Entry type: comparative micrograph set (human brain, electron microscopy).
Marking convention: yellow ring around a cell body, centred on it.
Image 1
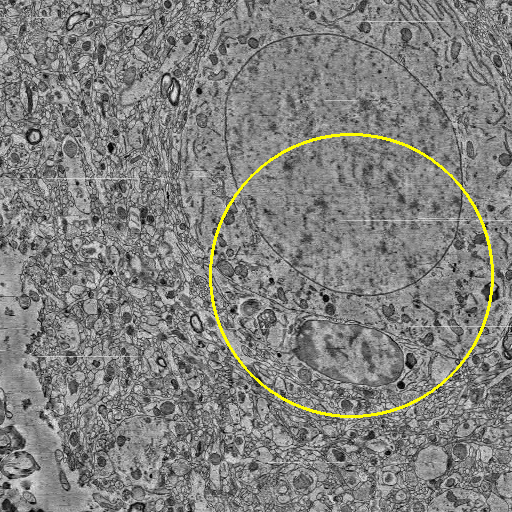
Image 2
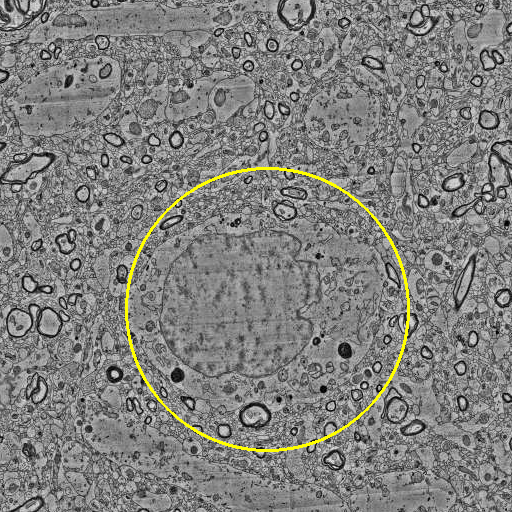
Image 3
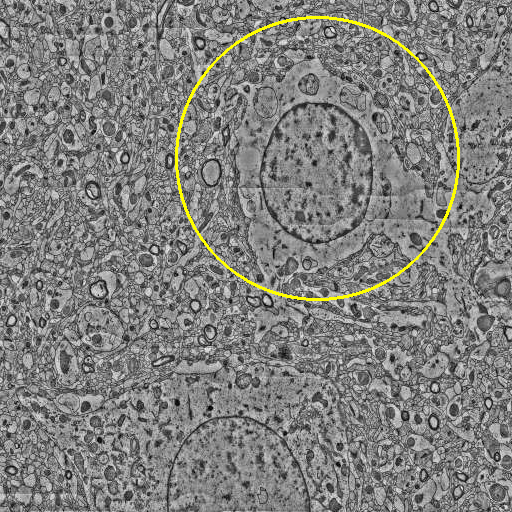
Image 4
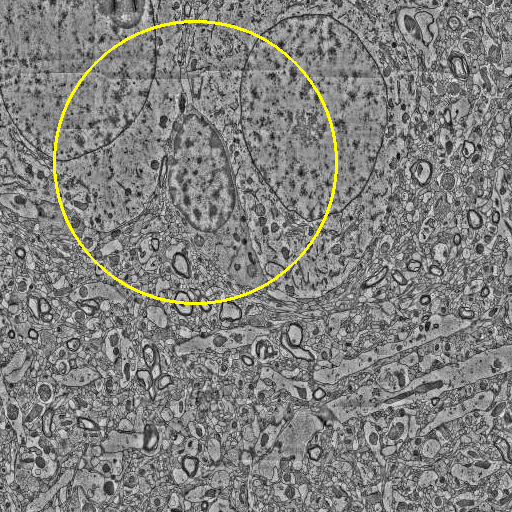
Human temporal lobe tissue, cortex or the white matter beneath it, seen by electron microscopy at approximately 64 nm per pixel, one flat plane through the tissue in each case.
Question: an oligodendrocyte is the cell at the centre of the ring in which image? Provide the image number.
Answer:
4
